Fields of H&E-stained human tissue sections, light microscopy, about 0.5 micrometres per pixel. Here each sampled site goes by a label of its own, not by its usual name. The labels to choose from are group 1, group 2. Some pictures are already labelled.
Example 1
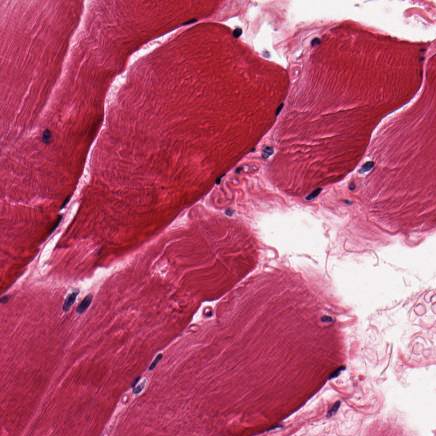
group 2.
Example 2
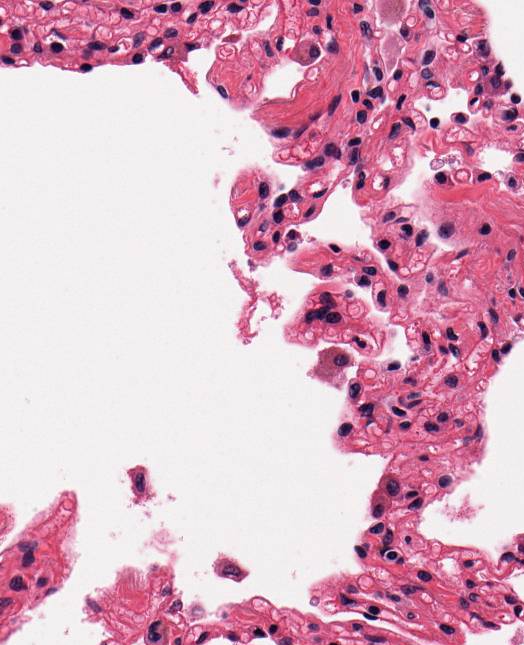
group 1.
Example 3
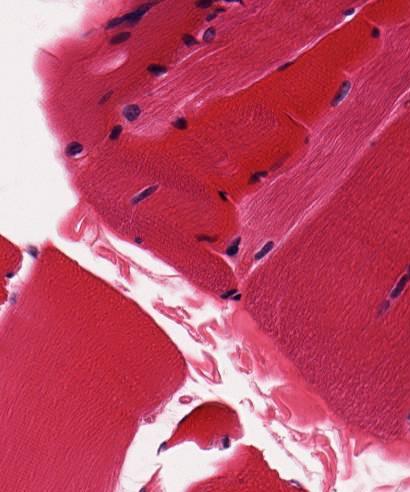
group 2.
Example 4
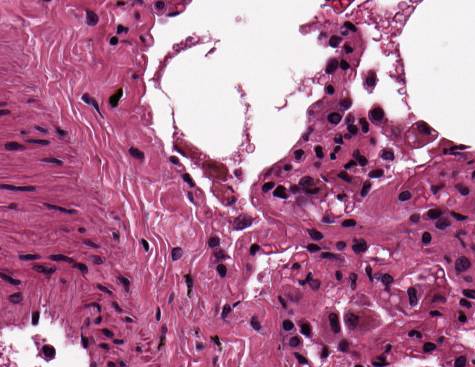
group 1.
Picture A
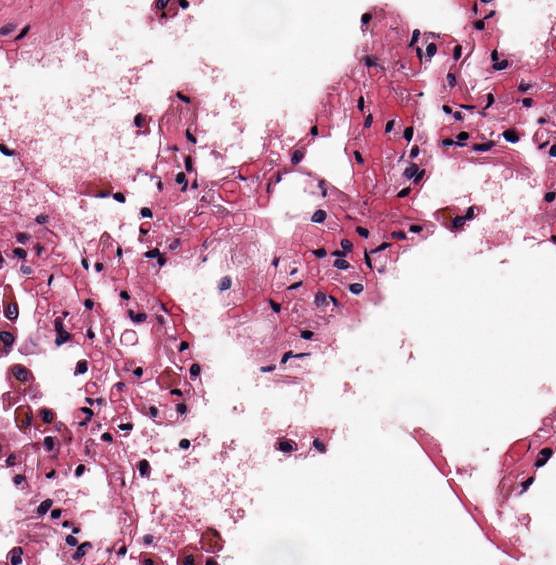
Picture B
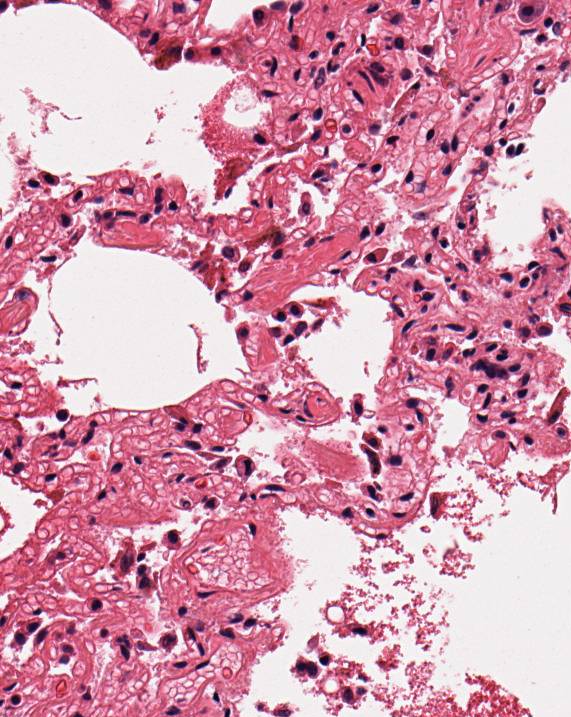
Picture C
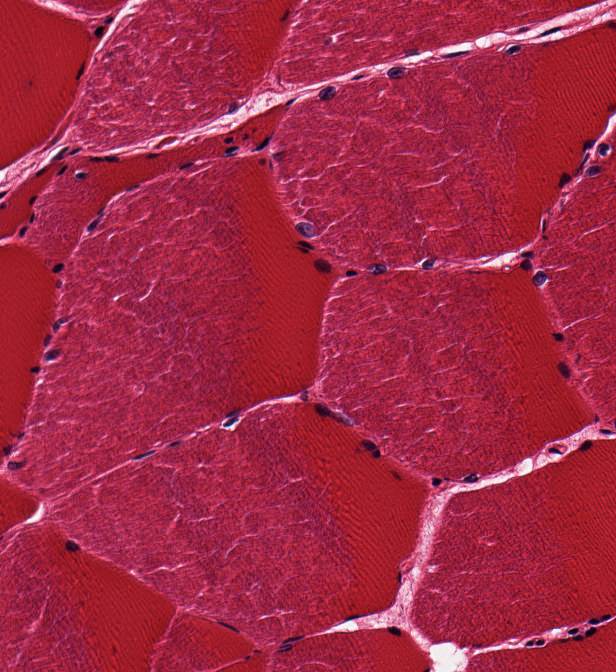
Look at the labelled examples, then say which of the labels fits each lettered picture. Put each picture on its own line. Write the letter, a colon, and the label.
A: group 1.
B: group 1.
C: group 2.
